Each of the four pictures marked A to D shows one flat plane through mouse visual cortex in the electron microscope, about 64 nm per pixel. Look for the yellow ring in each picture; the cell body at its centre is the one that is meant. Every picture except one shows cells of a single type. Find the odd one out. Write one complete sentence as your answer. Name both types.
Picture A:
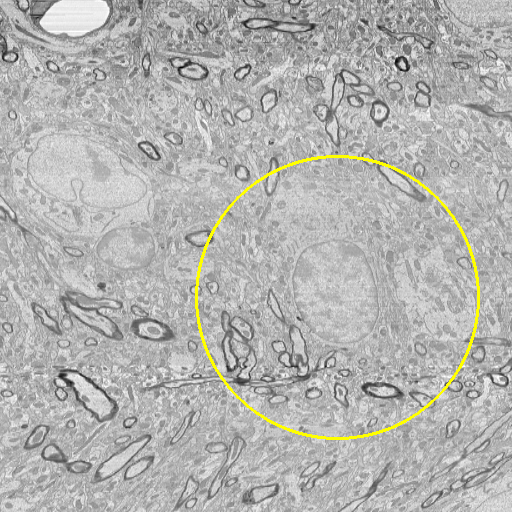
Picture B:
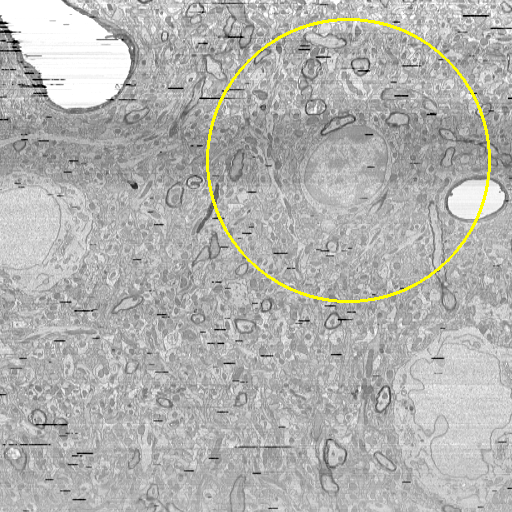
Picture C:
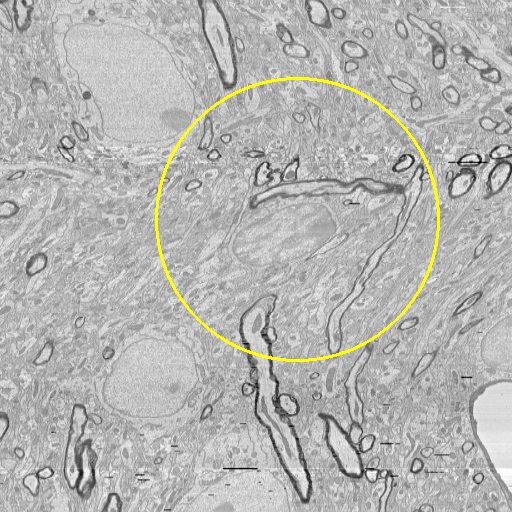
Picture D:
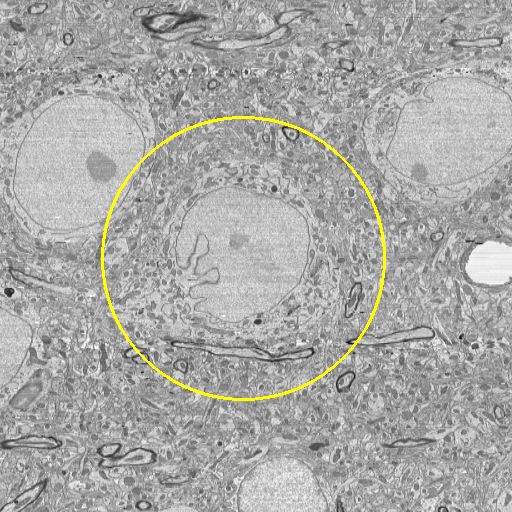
The others show oligodendrocytes, but picture D shows an inhibitory neuron.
